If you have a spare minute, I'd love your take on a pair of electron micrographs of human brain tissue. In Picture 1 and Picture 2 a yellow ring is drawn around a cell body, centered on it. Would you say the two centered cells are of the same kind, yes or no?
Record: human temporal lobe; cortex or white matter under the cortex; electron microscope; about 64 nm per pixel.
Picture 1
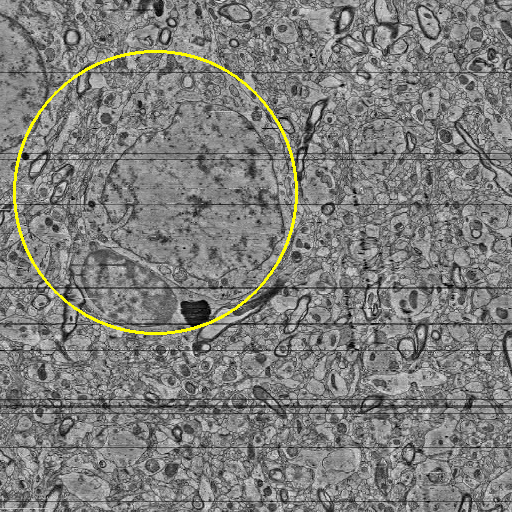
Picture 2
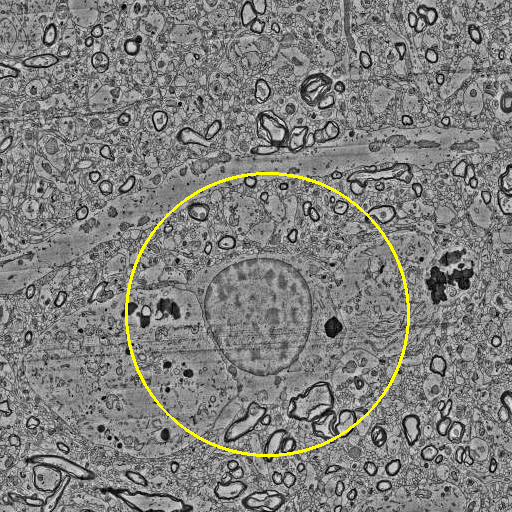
no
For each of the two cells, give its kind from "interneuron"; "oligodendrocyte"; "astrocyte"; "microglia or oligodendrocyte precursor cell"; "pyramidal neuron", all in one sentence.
The first picture has a pyramidal neuron in its ring, the second has an oligodendrocyte.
